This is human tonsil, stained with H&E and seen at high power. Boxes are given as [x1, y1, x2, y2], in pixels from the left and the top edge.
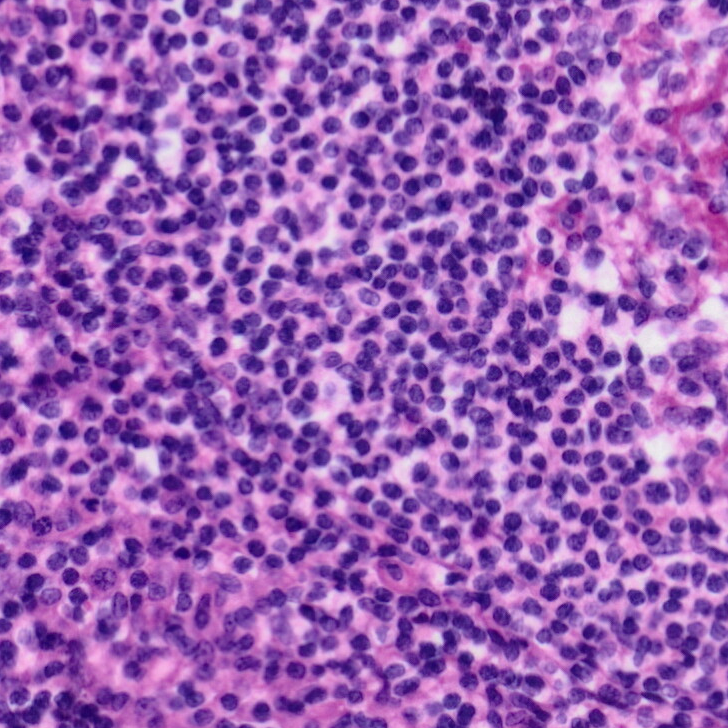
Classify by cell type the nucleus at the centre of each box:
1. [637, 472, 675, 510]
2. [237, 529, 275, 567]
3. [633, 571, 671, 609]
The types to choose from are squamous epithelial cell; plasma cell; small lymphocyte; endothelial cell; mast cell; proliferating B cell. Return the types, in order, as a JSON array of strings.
["proliferating B cell", "plasma cell", "small lymphocyte"]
